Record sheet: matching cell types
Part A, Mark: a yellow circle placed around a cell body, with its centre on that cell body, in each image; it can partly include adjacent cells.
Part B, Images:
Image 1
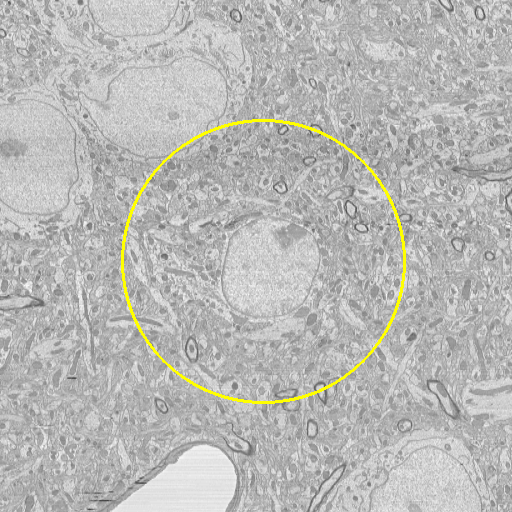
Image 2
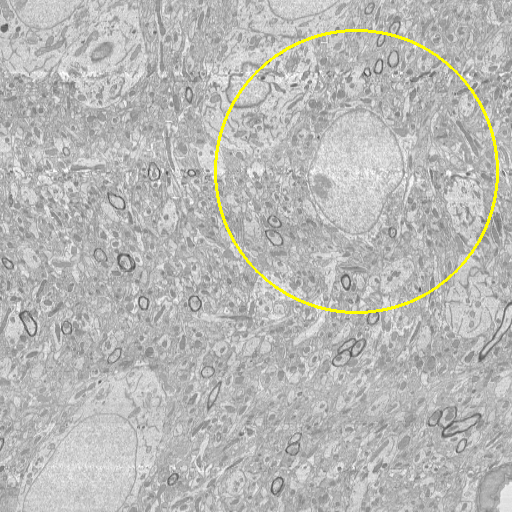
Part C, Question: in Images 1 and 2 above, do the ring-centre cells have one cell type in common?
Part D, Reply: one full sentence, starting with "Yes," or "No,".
Yes, the ring-centre cells of Image 1 and Image 2 are both of a single cell type.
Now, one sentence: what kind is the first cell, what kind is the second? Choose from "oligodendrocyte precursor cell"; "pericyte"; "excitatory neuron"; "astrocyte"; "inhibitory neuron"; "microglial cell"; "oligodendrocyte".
The first and the second cell are each an astrocyte.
